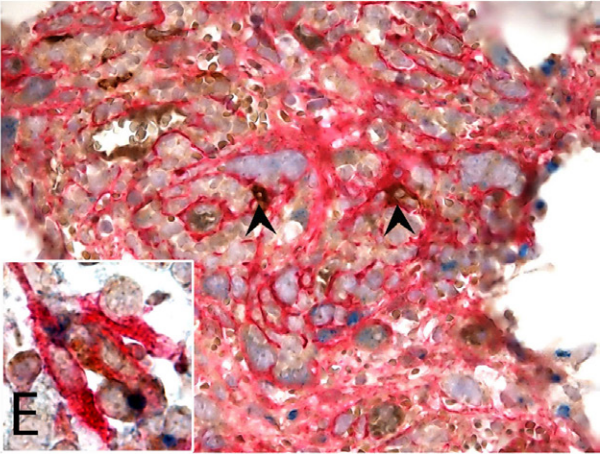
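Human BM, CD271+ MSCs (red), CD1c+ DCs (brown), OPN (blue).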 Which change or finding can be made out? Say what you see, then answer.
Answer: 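A dense red fibrillary network runs through the whole marrow space. Large cells with large nuclei lie enmeshed in the network. On this evidence: myelofibrosis.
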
